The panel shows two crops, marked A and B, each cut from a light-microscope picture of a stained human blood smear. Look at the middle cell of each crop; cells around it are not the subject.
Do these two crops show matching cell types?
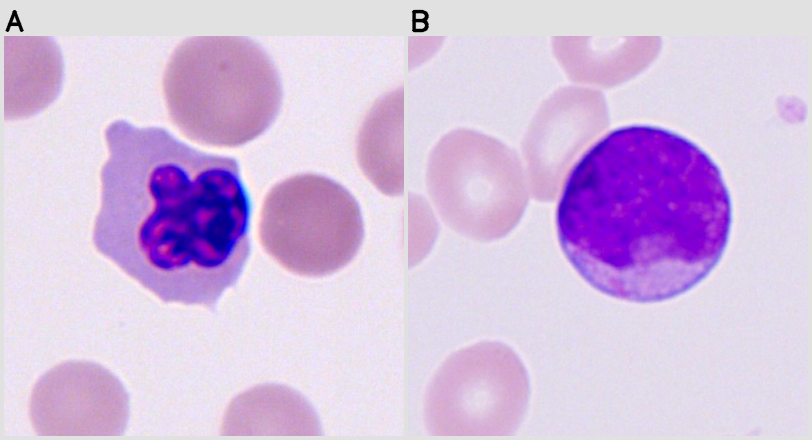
no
